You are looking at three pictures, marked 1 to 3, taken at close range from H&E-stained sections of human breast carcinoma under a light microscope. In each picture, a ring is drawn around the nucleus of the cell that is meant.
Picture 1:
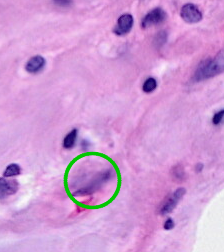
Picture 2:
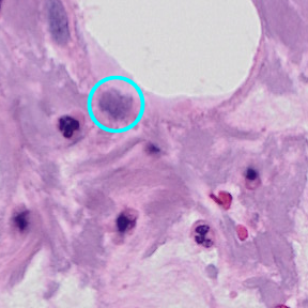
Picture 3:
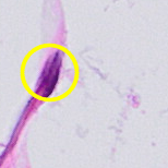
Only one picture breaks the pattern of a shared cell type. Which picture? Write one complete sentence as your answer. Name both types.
The different one is picture 2; it shows a fibroblast, whereas all the others show endothelial cells.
